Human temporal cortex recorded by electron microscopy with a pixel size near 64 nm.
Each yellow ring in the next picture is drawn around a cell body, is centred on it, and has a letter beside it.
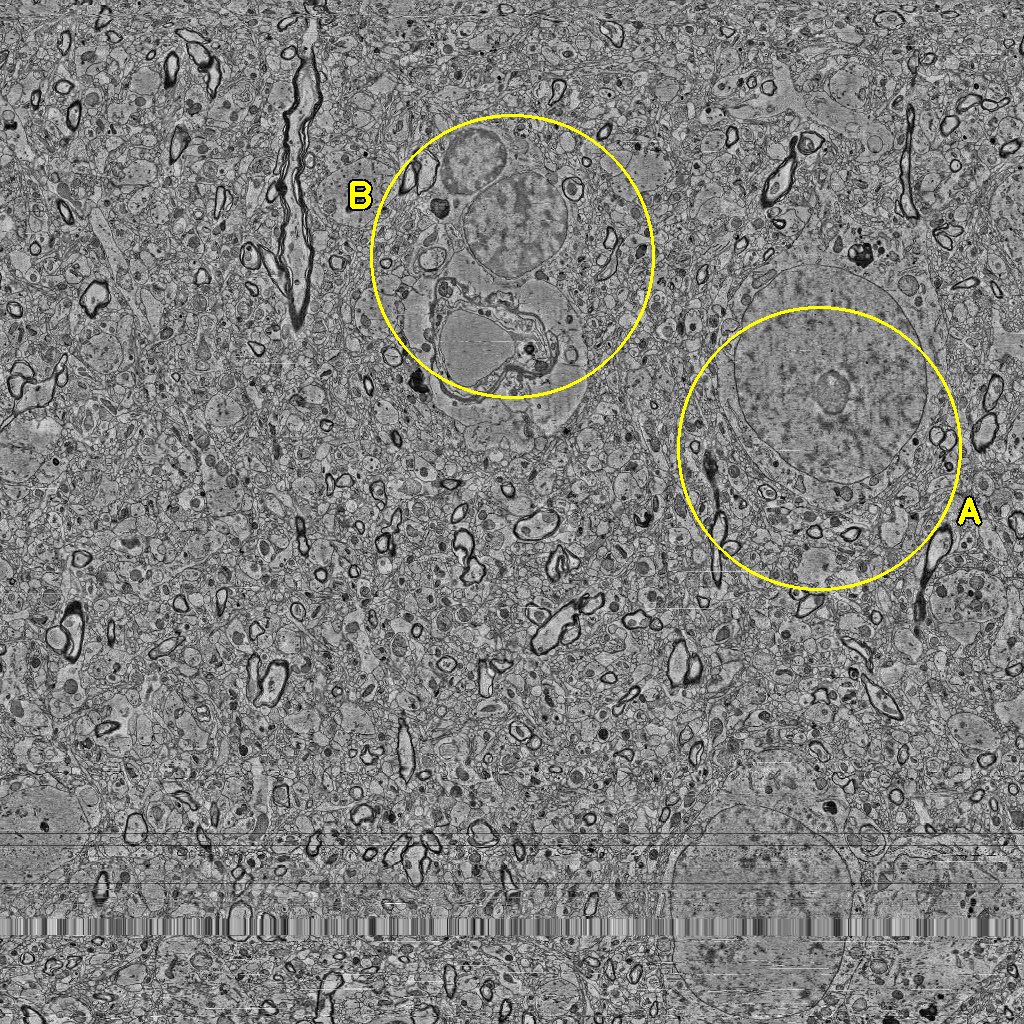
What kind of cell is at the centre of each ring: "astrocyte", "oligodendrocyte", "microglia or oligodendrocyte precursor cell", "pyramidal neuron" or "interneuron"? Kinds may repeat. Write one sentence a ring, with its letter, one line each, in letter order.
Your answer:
The centre of ring A falls on a pyramidal neuron.
The centre of ring B falls on an oligodendrocyte.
